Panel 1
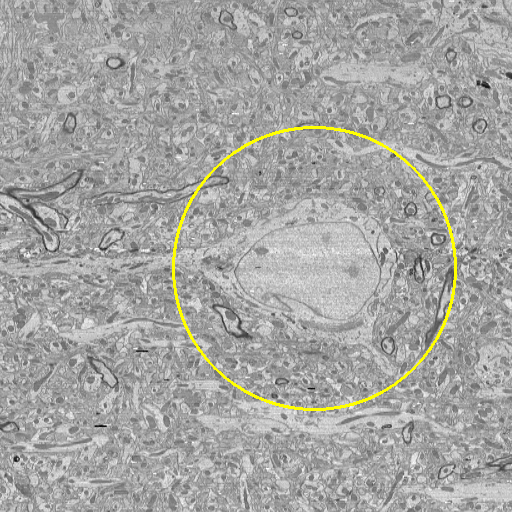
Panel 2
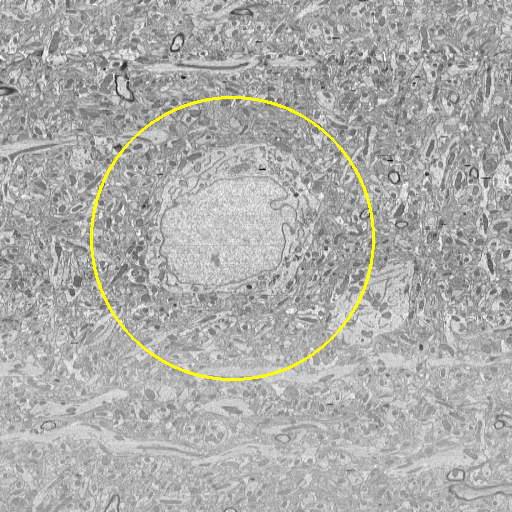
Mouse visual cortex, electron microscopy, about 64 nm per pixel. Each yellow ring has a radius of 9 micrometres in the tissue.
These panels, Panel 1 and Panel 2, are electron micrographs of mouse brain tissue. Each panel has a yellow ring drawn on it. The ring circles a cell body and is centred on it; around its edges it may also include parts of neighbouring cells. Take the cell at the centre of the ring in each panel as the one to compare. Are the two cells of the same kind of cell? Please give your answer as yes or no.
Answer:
no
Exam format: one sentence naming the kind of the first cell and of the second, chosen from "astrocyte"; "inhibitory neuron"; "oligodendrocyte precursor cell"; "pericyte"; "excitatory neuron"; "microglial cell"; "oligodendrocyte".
The first picture's cell is an excitatory neuron, and the second picture's cell is an inhibitory neuron.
